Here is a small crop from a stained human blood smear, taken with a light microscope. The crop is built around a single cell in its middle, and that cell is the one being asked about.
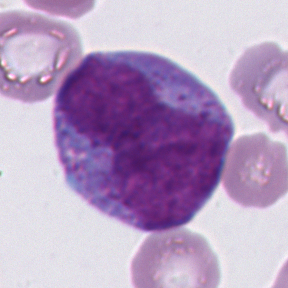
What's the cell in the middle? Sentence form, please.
This crop is built around a promyelocyte at its centre.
